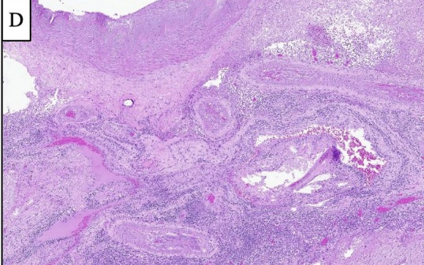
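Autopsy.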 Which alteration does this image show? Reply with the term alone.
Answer: The inflammatory process extended to the wall of the large caliber vessels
